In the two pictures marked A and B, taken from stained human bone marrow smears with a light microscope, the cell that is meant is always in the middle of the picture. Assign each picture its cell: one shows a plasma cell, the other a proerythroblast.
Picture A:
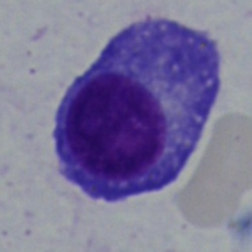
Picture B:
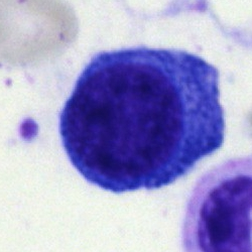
A: plasma cell
B: proerythroblast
